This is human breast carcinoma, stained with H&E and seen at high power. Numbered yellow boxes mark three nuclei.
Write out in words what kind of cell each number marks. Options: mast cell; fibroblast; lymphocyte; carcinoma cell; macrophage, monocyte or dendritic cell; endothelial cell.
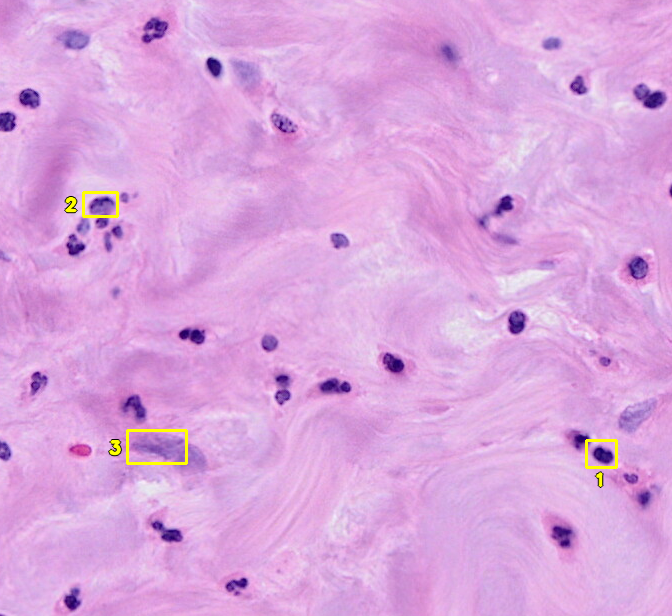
Cell 1 is a lymphocyte, cell 2 is a lymphocyte and cell 3 is a fibroblast.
